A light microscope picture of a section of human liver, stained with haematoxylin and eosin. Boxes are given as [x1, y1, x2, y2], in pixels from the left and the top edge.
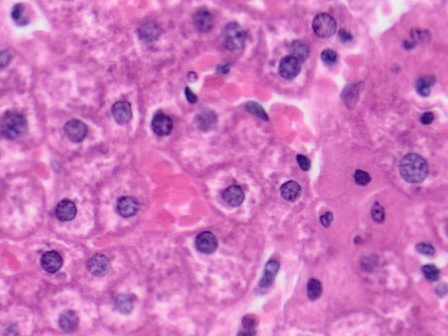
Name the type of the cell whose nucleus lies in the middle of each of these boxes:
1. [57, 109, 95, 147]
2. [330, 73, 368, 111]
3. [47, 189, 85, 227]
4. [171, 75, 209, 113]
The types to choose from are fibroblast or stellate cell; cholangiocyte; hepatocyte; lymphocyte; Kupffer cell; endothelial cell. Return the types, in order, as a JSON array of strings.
["hepatocyte", "endothelial cell", "hepatocyte", "fibroblast or stellate cell"]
